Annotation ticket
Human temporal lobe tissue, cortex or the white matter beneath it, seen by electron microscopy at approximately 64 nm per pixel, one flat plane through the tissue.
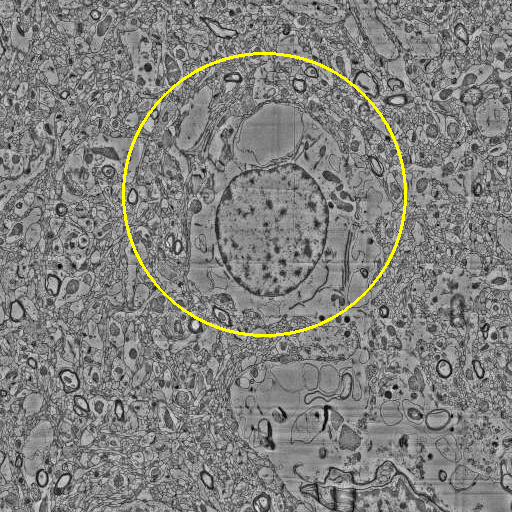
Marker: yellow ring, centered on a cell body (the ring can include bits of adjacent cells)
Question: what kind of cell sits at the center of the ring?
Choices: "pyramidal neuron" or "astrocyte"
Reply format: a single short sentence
The ring is centered on an astrocyte.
